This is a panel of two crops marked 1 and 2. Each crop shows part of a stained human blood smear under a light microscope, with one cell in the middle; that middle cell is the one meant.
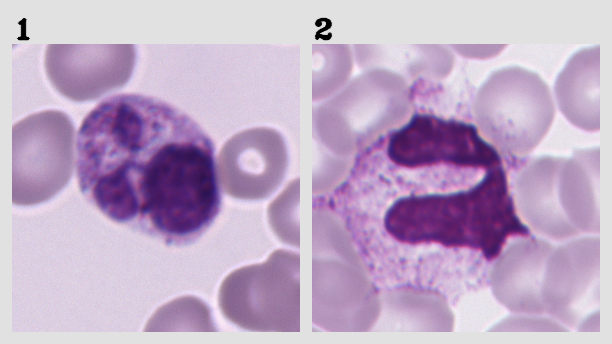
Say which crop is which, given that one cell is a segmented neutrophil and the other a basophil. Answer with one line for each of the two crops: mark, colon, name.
1: basophil
2: segmented neutrophil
